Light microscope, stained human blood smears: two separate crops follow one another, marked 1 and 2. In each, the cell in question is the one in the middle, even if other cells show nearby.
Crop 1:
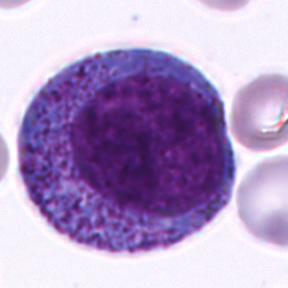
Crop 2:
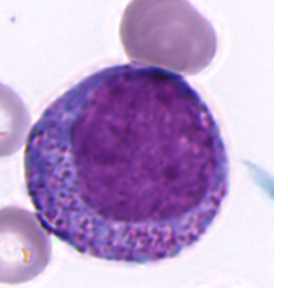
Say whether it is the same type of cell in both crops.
yes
